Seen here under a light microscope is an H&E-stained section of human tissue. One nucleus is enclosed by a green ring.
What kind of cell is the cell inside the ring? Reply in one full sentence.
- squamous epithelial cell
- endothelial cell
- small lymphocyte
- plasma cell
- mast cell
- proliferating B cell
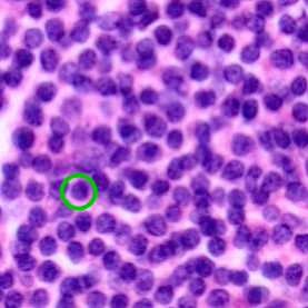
Cytologically, the cell inside the ring is to be regarded as a small lymphocyte.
